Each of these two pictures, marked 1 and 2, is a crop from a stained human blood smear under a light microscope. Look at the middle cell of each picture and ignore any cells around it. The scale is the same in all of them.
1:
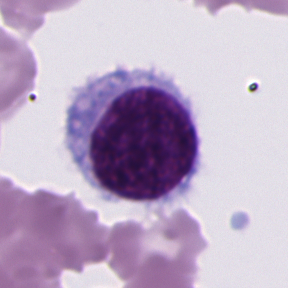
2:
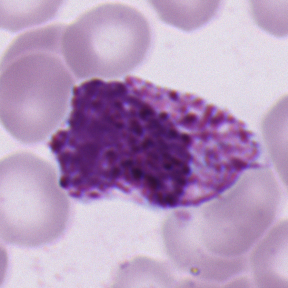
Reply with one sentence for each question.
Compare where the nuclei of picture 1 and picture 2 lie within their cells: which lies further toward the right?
The nucleus in picture 1 lies further toward the right of its cell.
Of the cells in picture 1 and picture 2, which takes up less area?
It is the cell in picture 1; the cell in picture 2 has about 1.5 times its area.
